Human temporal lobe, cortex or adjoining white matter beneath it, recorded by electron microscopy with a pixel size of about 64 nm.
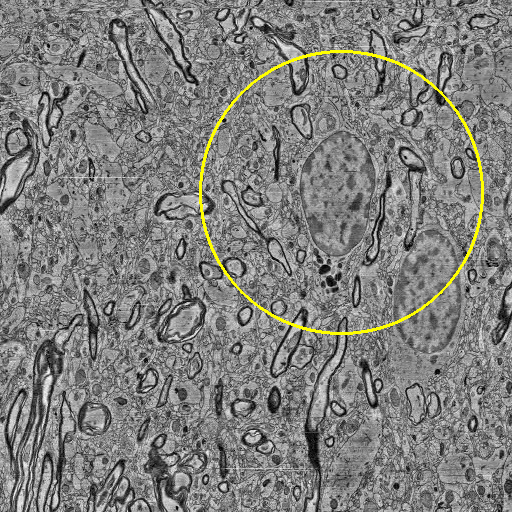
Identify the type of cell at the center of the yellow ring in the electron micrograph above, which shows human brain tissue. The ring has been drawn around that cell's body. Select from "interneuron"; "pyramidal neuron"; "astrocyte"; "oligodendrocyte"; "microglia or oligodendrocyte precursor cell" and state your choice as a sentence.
The yellow ring is centered on the body of a microglial cell or oligodendrocyte precursor cell.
